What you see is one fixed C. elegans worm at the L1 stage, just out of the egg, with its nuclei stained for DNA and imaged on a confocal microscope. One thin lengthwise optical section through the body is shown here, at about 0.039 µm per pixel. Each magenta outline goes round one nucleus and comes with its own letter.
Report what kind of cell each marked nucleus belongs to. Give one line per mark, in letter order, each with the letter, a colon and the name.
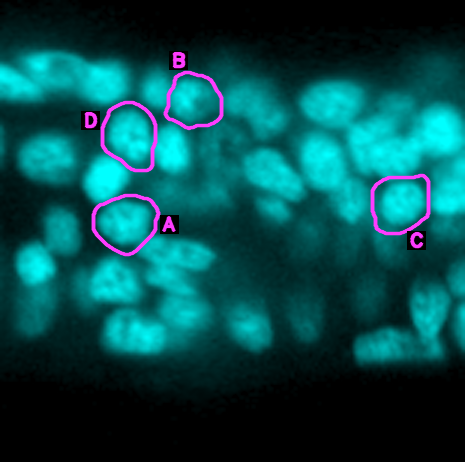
A: pharyngeal muscle cell
B: body wall muscle cell
C: neuron
D: neuron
